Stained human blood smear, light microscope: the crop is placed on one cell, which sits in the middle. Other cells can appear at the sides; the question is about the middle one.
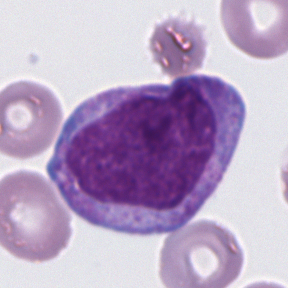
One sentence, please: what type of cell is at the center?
The cell centered in this field of view is an atypical promyelocyte.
